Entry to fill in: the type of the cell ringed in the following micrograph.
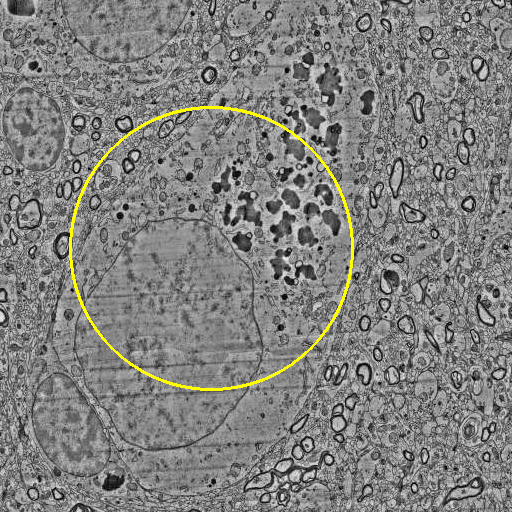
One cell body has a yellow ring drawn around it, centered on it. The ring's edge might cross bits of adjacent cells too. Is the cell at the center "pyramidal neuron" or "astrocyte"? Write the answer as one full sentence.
This entry names a pyramidal neuron as the cell whose body lies at the ring's center.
